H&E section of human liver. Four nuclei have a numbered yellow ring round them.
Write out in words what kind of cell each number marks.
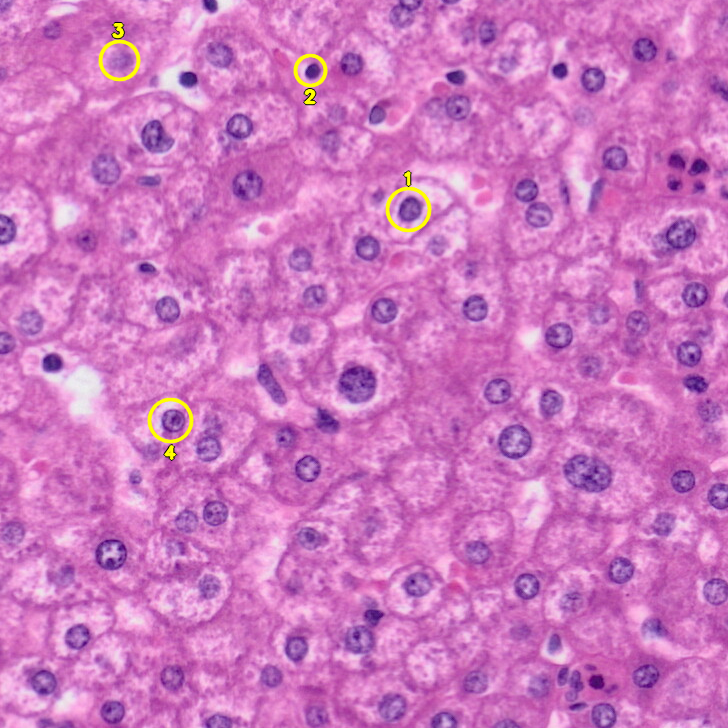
Cells 1, 3 and 4 are hepatocytes. Cell 2 is a lymphocyte.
